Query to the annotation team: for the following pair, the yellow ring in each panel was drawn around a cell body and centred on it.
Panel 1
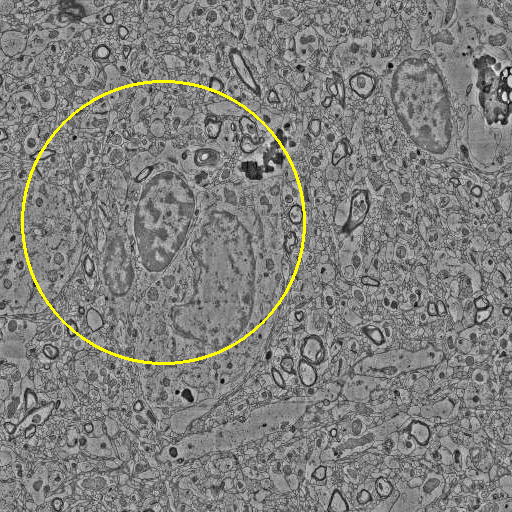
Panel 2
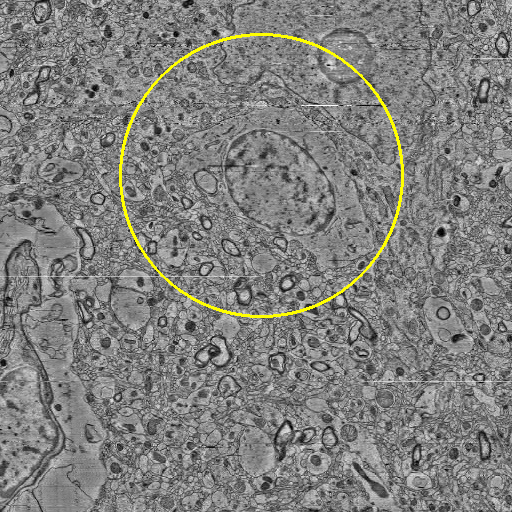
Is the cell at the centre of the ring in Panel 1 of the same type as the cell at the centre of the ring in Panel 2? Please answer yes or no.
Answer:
yes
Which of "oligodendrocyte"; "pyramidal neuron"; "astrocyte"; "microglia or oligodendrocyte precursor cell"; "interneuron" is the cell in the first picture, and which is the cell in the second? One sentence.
In each of the two pictures, the ringed cell is a microglial cell or oligodendrocyte precursor cell.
